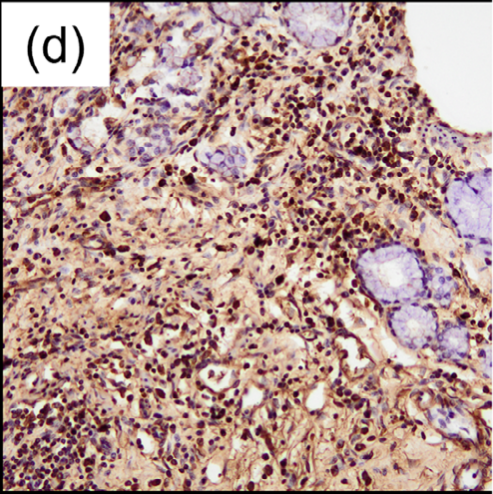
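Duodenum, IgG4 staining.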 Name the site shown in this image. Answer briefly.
mucosal lamina propria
